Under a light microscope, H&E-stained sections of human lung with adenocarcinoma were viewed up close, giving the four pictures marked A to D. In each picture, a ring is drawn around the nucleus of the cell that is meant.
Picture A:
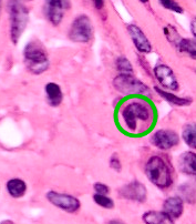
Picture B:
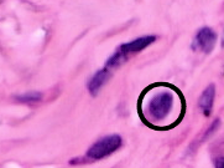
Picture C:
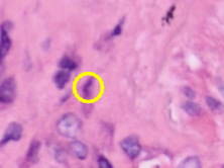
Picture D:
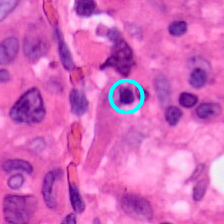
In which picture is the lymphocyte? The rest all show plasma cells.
D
